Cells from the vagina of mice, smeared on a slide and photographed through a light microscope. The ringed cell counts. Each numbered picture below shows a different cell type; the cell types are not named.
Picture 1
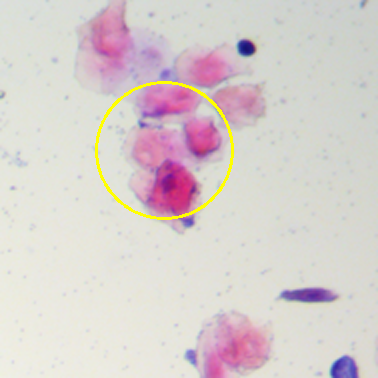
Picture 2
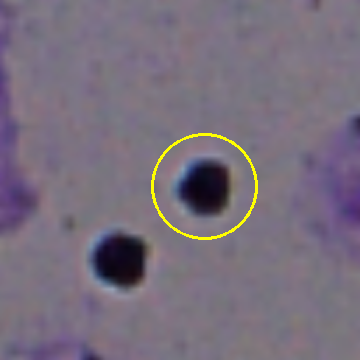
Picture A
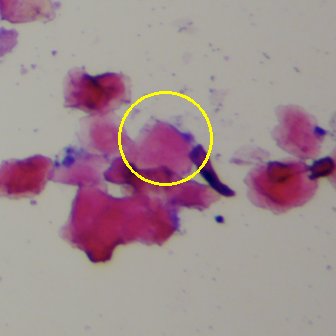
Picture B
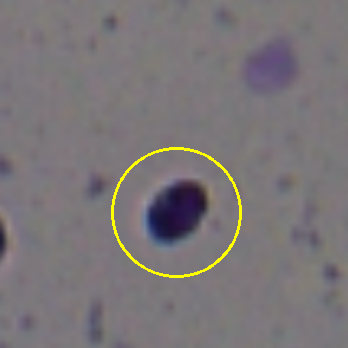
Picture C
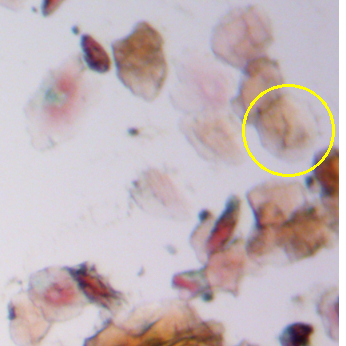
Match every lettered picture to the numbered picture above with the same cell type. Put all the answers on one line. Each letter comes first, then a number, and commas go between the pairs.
A 1, B 2, C 1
